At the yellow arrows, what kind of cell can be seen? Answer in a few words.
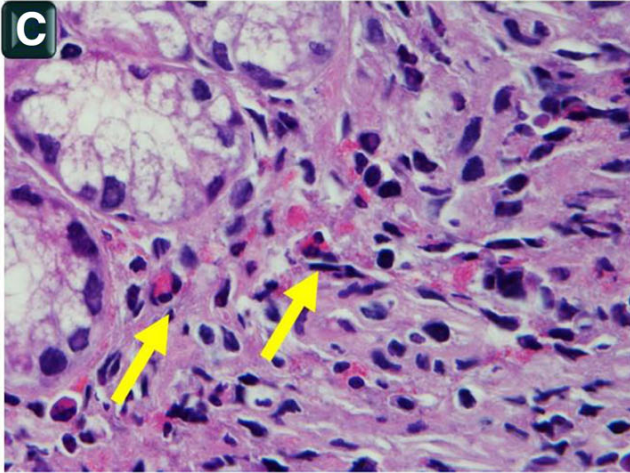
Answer: Eosinophils.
